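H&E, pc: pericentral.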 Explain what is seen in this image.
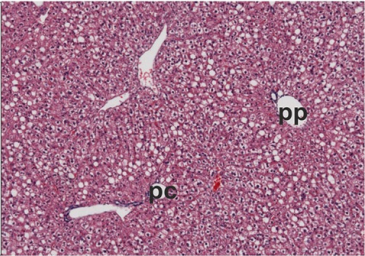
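A section of liver at low magnification shows the parenchyma with several vessel lumens, one with a thin fibrous wall, scattered through it. The hepatocytes are pink with dark purple nuclei, but their cytoplasm is crowded with many round clear vacuoles of varying size, giving the tissue a bubbly, lacy look. The vacuoles occupy a large part of the parenchyma, seen as steatosis. A small focus of red blood cells lies near one vessel. The regular cord arrangement of cells is hard to follow because the vacuoles distort the cells.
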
